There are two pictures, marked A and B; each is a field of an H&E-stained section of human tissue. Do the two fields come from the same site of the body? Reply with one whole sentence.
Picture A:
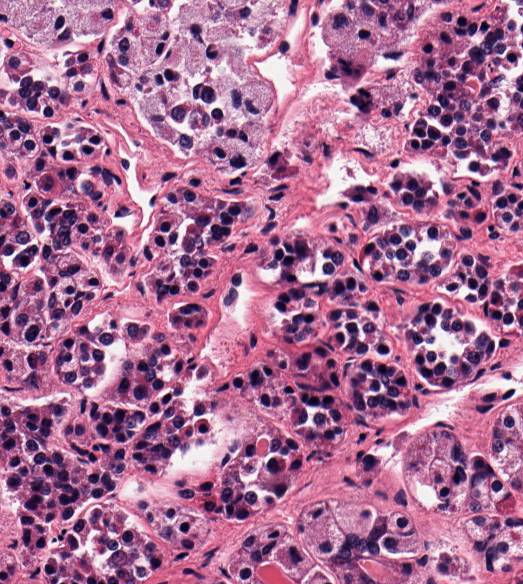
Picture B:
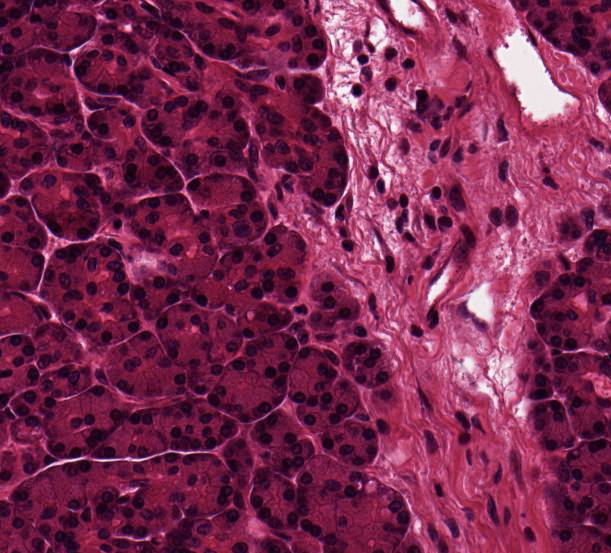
No, picture A comes from the pituitary and picture B comes from the pancreas.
